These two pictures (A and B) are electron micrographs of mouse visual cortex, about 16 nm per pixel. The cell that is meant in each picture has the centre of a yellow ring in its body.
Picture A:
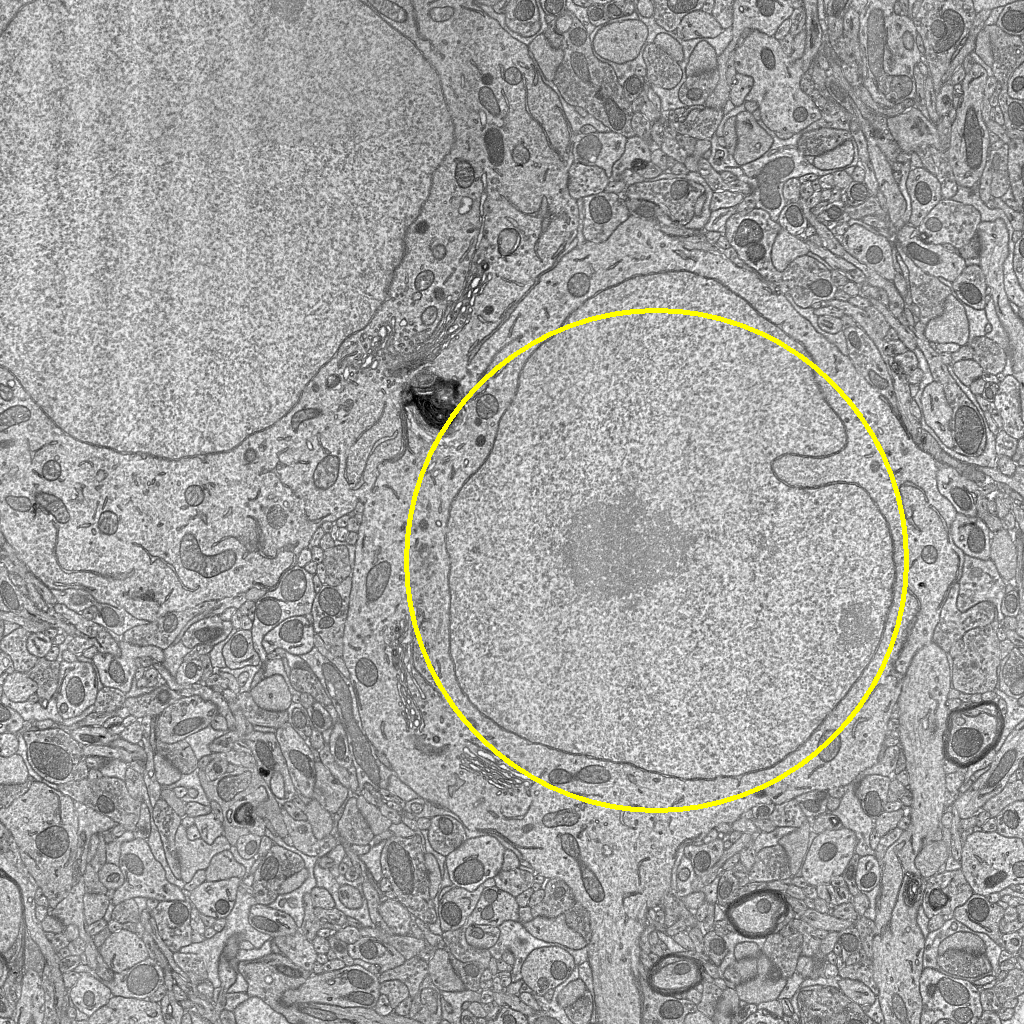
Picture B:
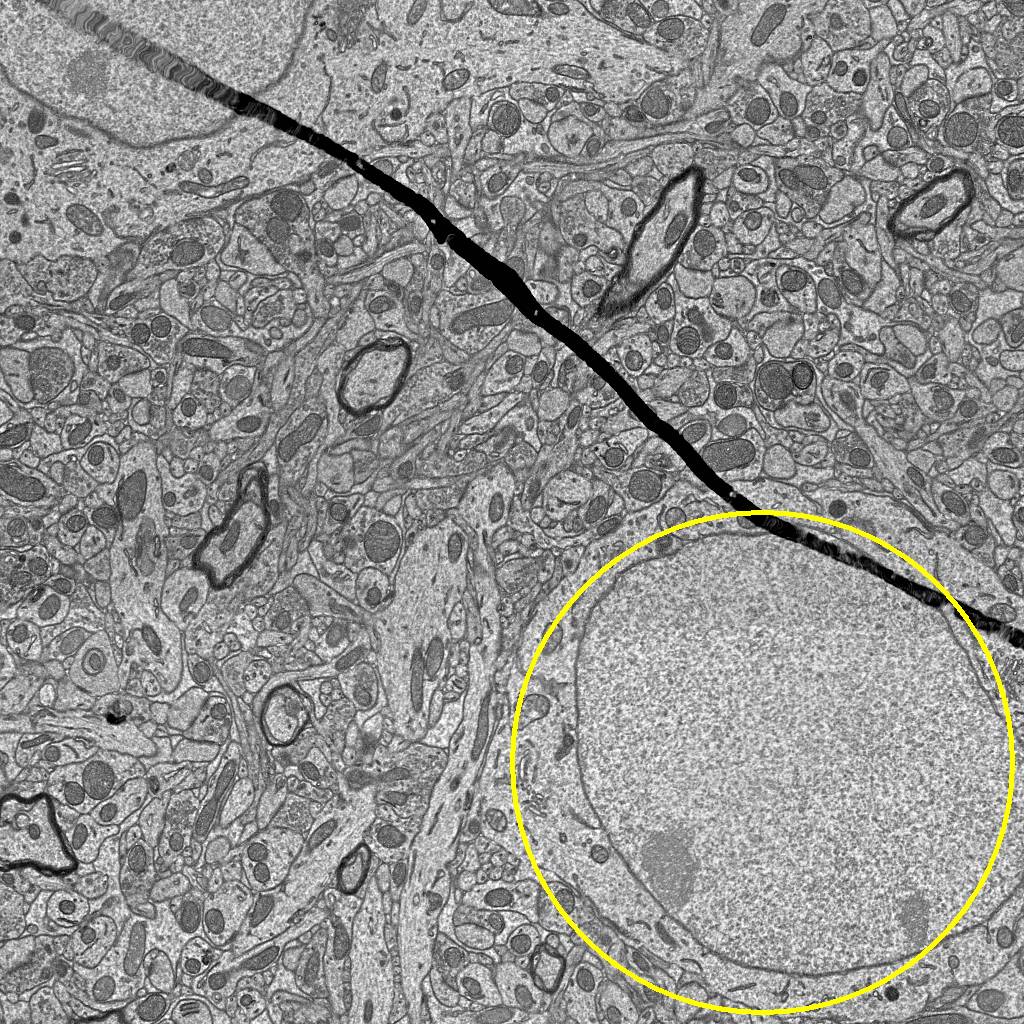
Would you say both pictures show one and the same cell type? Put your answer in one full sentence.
Yes, the two pictures both show excitatory neurons.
